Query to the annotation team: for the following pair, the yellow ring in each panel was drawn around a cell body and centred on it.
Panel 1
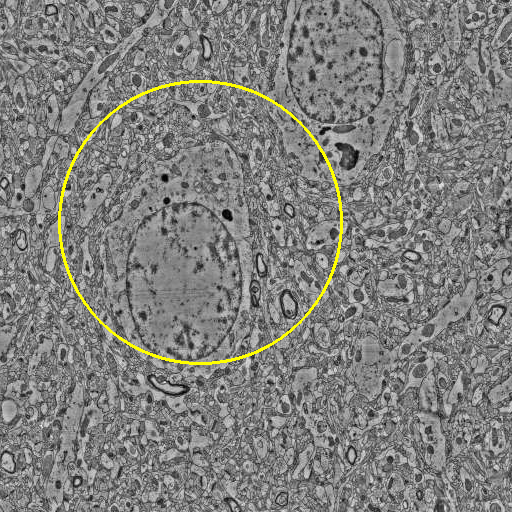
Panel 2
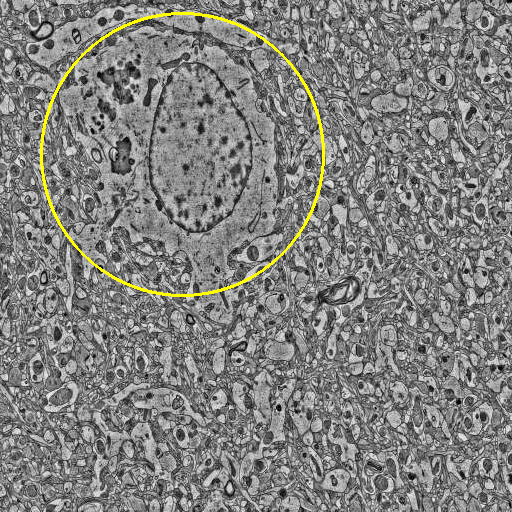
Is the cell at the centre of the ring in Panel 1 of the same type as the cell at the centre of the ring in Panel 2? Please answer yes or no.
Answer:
no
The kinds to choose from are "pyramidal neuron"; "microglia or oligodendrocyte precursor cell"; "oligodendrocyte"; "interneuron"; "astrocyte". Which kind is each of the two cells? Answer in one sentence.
Of the two, the first cell is a pyramidal neuron and the second cell is an astrocyte.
